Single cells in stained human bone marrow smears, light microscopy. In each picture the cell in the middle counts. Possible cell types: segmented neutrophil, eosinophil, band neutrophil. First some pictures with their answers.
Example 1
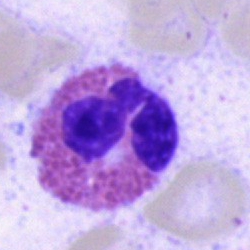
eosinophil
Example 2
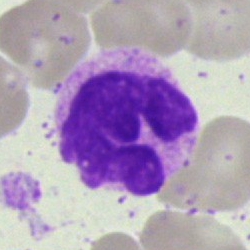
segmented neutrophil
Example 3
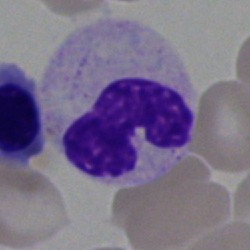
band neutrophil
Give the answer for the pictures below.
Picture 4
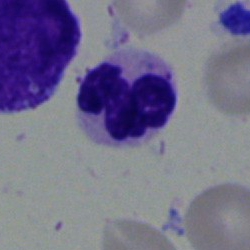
segmented neutrophil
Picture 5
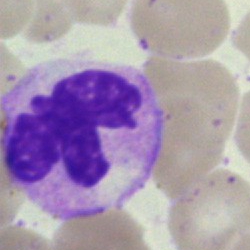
segmented neutrophil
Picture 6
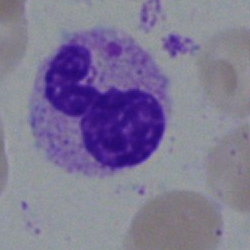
segmented neutrophil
